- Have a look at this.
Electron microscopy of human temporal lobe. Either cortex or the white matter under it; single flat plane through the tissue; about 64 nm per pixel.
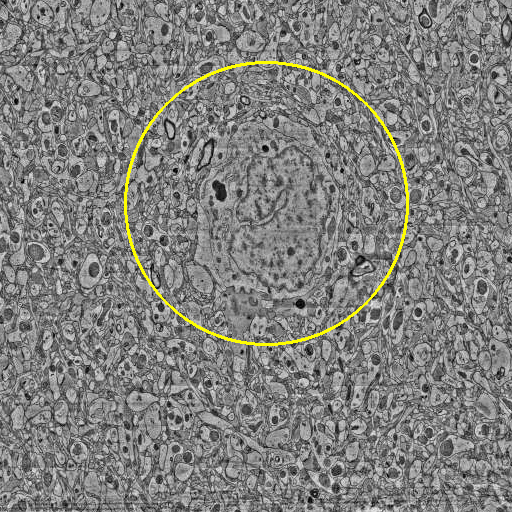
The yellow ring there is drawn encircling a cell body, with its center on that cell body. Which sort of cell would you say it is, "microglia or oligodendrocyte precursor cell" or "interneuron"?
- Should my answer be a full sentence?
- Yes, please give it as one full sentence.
For this picture, an interneuron is the cell where the yellow ring has its center.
